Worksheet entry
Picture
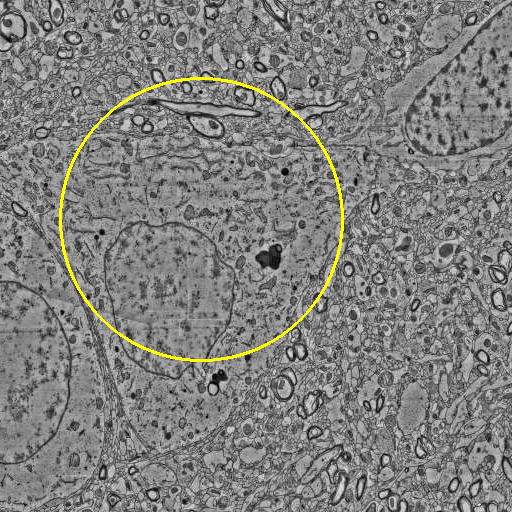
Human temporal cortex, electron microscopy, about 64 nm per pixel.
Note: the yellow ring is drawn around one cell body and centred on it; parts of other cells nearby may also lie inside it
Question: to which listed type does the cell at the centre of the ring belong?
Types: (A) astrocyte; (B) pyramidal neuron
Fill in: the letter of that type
B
